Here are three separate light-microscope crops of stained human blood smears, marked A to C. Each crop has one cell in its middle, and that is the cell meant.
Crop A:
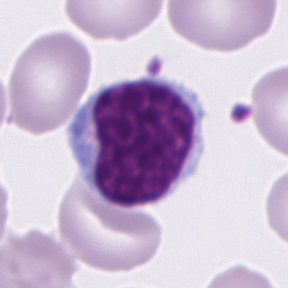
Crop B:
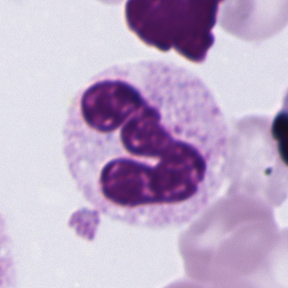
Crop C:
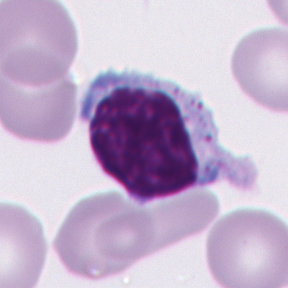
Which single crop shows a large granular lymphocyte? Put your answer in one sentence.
The one crop in the set with a large granular lymphocyte is crop C.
